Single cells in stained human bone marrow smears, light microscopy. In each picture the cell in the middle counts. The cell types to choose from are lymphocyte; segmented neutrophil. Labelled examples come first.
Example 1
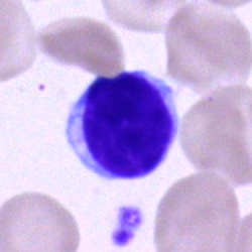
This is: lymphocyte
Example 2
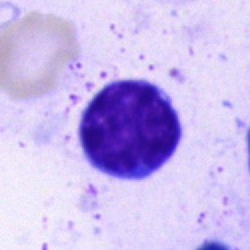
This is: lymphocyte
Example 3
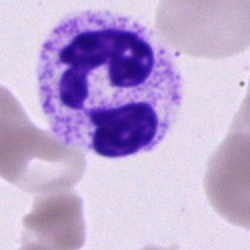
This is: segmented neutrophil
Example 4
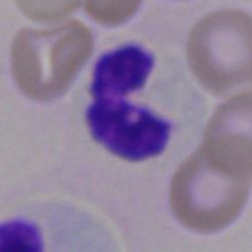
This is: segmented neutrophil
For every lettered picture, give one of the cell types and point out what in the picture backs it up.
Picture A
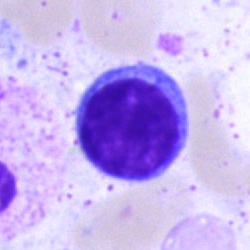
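Answer: lymphocyte. The cytoplasm forms only a narrow rim around the nucleus.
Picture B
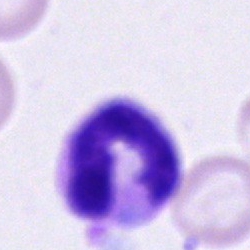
Answer: segmented neutrophil. The nucleus is a thick curved band wrapped around a pale central area.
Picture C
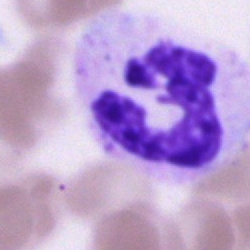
Answer: segmented neutrophil. The nucleus is a curved band bent into a shape like the numeral 3.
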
